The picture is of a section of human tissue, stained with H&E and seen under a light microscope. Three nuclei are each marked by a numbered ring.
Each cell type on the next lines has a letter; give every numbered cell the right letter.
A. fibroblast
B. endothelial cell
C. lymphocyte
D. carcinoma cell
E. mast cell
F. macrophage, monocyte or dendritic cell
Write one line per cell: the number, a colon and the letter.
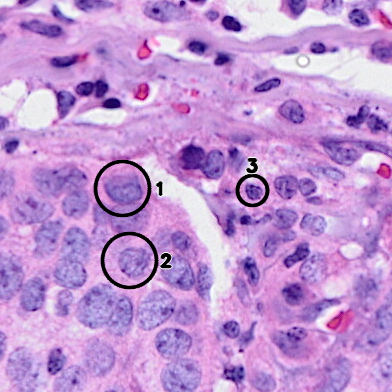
1: D
2: D
3: C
